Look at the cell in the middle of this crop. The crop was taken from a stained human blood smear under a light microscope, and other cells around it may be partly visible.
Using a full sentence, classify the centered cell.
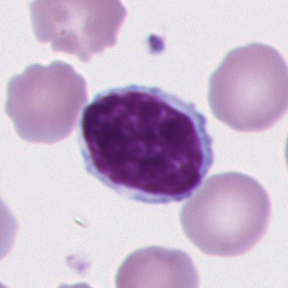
The middle of this crop holds a lymphocyte.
